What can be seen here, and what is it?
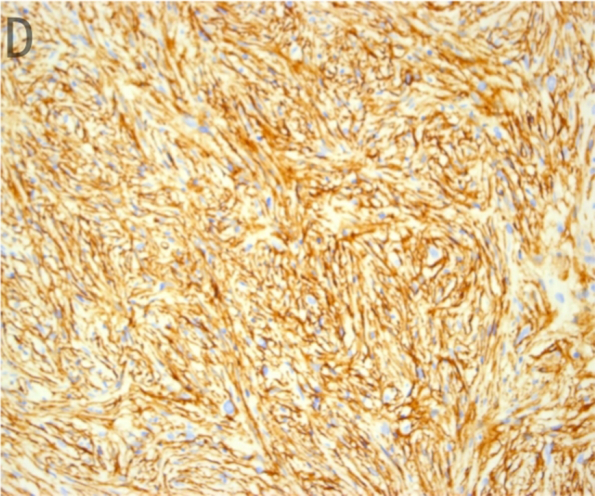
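This is a field of spindle tumor cells in which nearly every cell takes up a strong brown stain. The brown colour traces long, thin cell bodies and fine processes, so the whole field looks like a dense web of slender brown threads. These are arranged in interlacing, sweeping bundles that cross one another in different directions. Pale blue counterstained nuclei, elongated or oval, can be made out between and within the brown strands.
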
